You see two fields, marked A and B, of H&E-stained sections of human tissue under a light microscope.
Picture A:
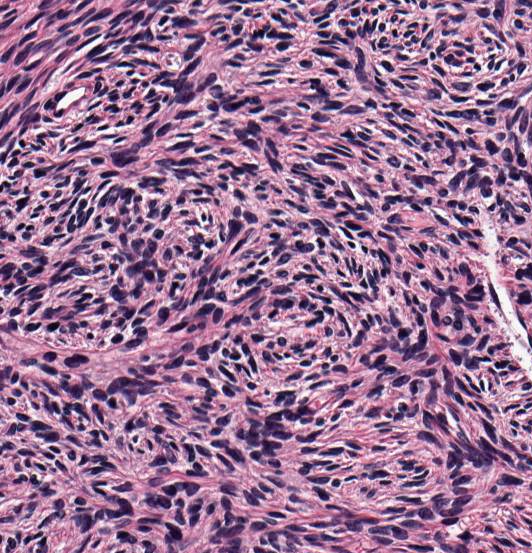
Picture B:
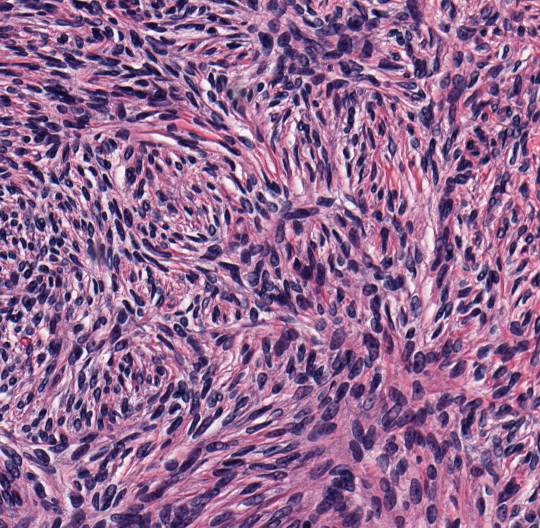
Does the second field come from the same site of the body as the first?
yes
